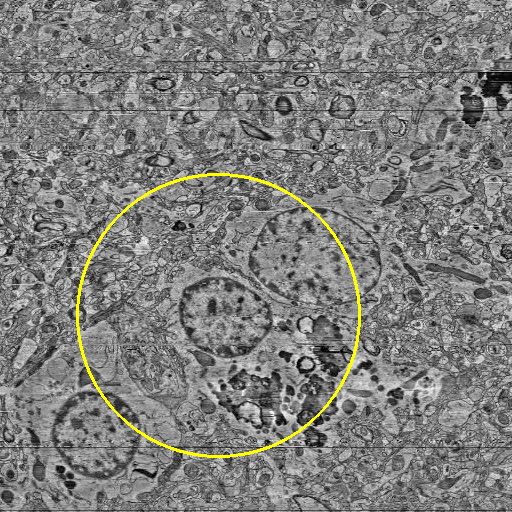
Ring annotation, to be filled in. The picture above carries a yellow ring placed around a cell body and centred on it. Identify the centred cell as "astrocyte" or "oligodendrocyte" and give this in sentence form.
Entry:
The cell in the middle of the ring is an astrocyte.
